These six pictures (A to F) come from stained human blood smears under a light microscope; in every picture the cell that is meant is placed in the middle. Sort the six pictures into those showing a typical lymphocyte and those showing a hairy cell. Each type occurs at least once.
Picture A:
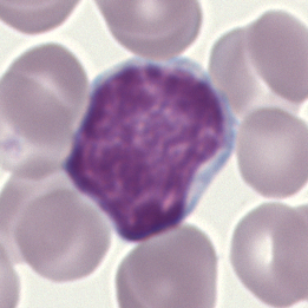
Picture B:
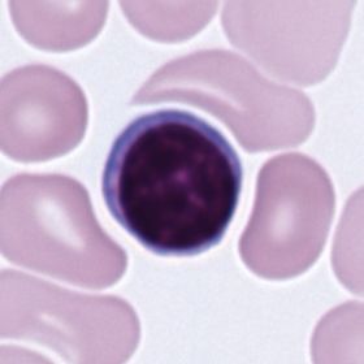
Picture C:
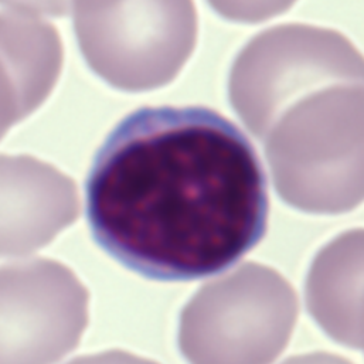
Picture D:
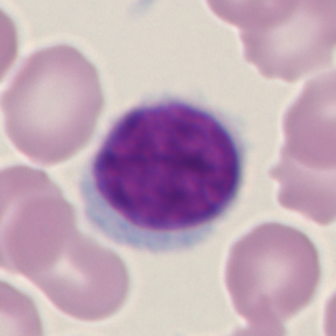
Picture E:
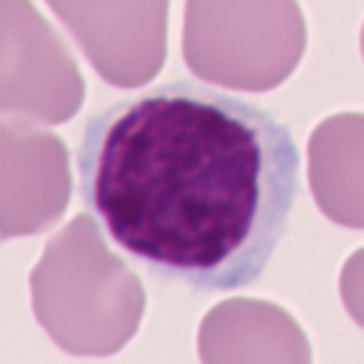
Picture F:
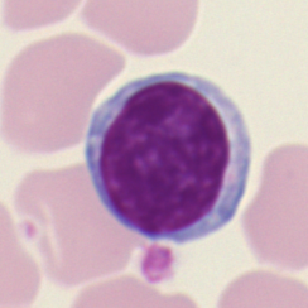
A: typical lymphocyte
B: typical lymphocyte
C: typical lymphocyte
D: hairy cell
E: hairy cell
F: typical lymphocyte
